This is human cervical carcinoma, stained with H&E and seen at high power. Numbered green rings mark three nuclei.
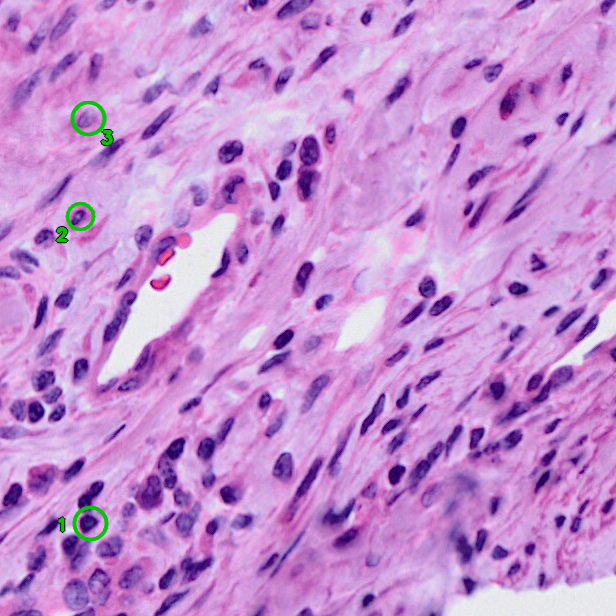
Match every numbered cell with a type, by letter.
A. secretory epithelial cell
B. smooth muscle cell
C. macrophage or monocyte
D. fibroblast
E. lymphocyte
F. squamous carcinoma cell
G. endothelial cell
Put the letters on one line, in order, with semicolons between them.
E; B; B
